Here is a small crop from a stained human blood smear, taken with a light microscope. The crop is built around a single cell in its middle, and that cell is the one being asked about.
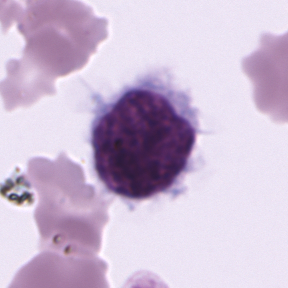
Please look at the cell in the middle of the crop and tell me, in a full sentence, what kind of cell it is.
The centrally positioned cell in the crop represents a hairy cell.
